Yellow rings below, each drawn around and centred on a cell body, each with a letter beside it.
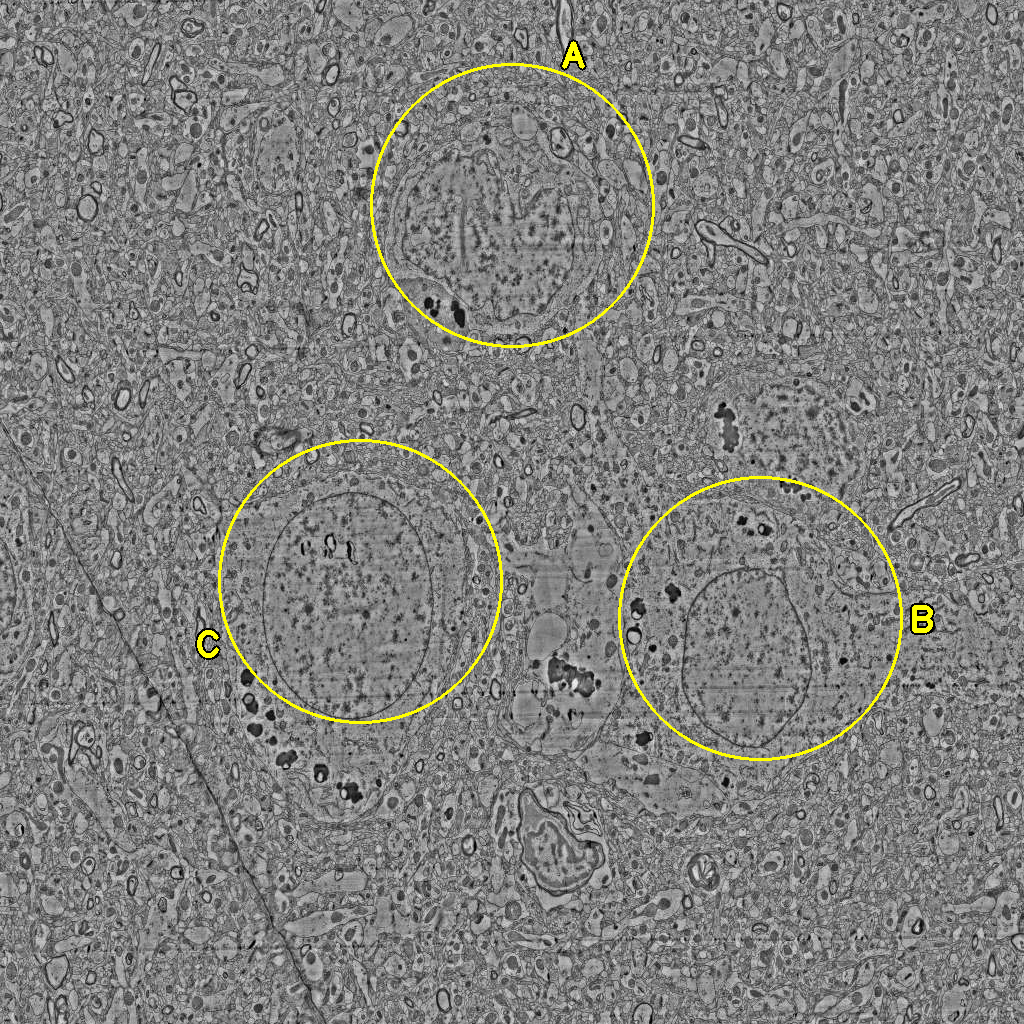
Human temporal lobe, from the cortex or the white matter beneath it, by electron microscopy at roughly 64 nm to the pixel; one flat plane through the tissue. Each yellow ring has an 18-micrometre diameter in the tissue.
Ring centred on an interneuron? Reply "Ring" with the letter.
Ring A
